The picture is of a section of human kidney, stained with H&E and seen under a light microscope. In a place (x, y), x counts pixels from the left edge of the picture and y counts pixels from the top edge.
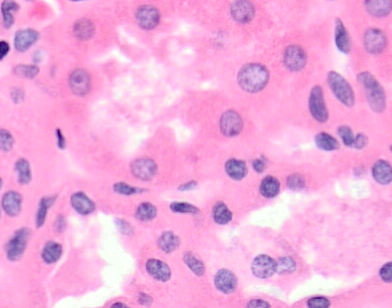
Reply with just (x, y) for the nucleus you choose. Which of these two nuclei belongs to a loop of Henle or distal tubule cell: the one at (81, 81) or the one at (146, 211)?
(146, 211)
